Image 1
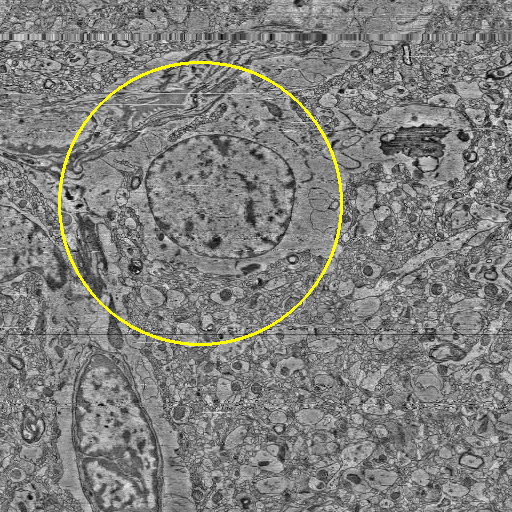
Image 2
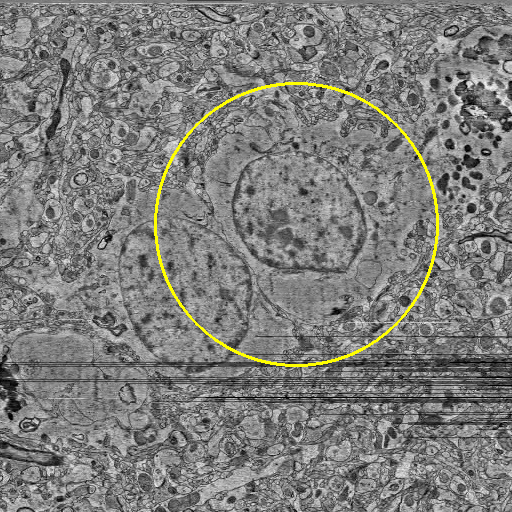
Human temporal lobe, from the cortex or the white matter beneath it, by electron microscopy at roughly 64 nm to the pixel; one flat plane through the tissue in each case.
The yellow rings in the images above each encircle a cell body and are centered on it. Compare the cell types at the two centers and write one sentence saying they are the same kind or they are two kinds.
Taken together, the two cells at the ring centers are the same kind.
